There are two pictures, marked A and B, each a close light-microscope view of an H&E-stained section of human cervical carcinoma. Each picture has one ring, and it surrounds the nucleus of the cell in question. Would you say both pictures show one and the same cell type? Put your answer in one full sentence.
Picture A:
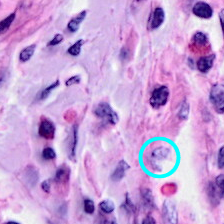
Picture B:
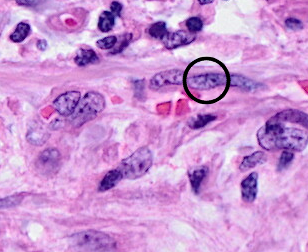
Yes, they are the same type: both are endothelial cells.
